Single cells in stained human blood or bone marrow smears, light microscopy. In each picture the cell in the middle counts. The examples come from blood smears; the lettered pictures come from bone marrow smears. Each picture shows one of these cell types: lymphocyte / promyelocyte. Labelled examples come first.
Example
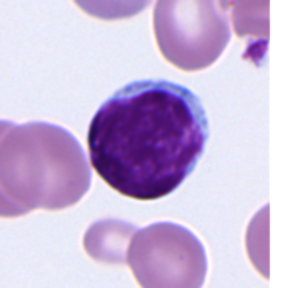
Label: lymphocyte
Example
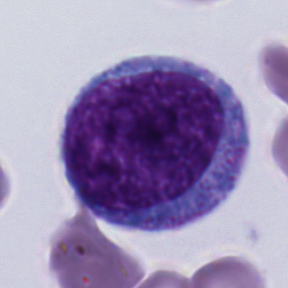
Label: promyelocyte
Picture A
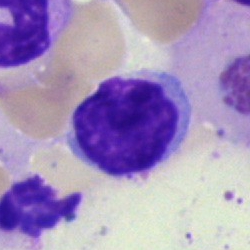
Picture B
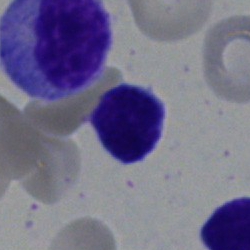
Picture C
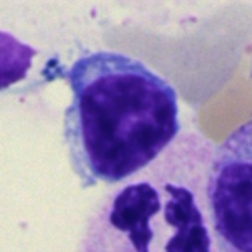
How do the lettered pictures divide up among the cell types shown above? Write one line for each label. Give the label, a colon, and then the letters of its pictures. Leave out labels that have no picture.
lymphocyte: A, B, C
